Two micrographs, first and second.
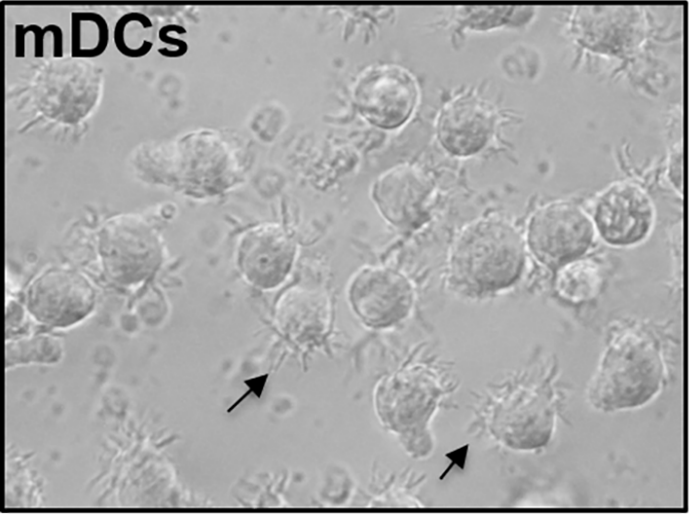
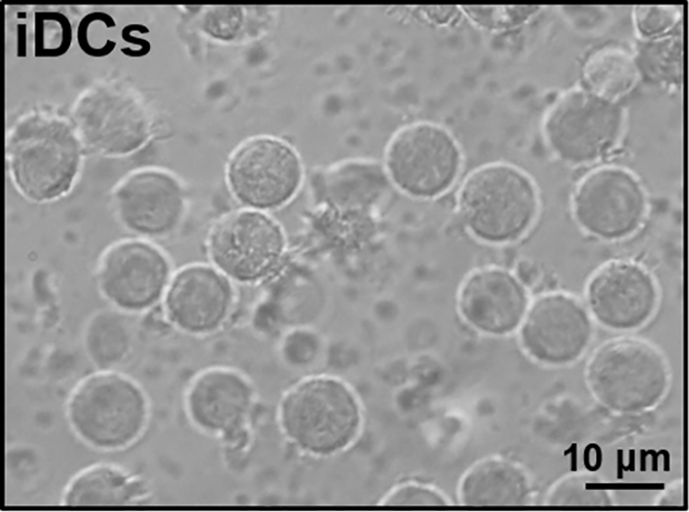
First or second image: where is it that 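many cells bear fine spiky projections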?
the first image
